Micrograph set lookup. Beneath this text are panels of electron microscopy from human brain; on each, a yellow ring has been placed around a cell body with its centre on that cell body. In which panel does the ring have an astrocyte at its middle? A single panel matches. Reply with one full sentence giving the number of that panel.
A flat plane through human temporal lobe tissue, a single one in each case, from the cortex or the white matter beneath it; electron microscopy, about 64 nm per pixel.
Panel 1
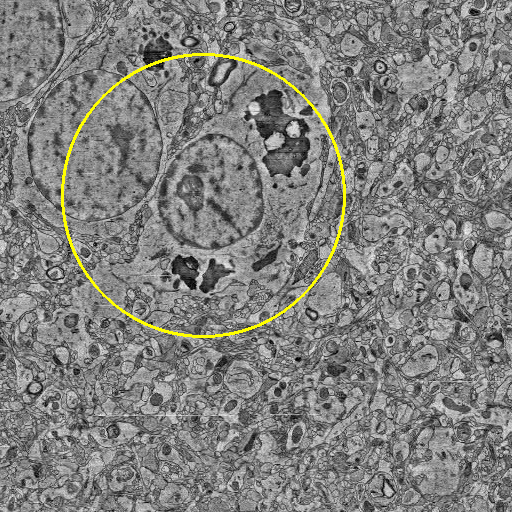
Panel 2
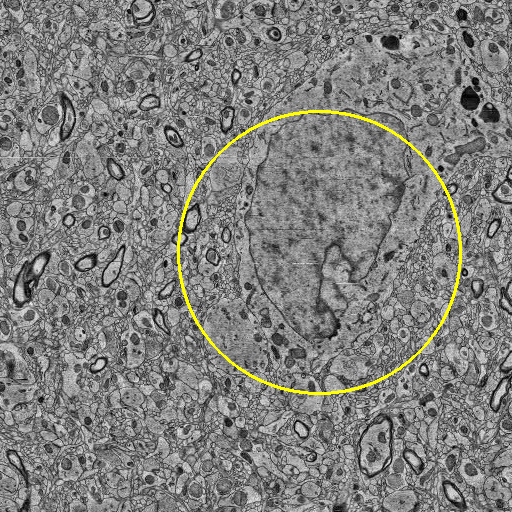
Panel 1 is the one whose ring has the sought cell at its centre.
